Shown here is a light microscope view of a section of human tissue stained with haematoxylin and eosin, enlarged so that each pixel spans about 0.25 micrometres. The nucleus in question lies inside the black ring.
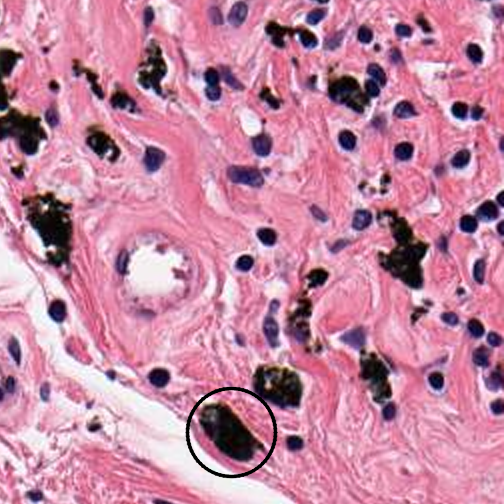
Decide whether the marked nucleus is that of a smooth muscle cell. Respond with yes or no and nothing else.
no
